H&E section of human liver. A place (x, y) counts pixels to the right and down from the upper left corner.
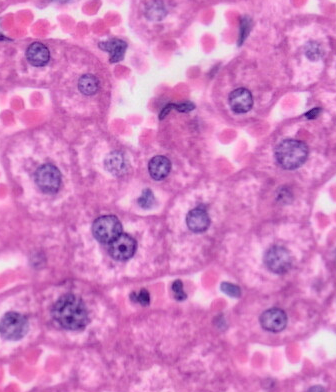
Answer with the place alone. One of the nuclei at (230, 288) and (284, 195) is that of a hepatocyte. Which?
(284, 195)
